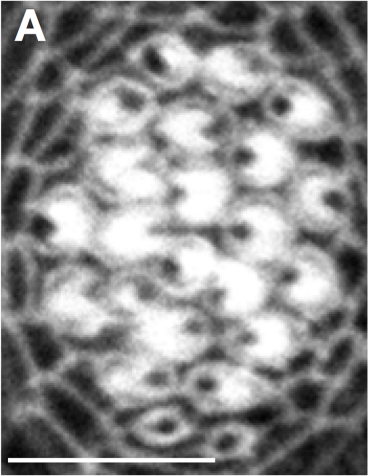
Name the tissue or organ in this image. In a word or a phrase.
Neuromast.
